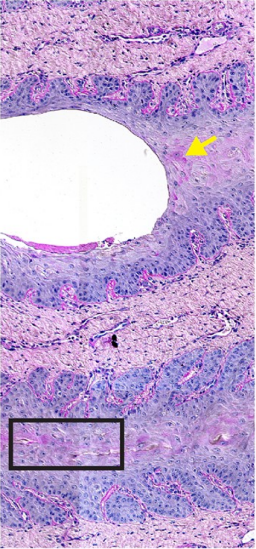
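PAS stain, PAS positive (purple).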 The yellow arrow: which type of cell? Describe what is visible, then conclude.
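The yellow arrow points to pink-purple cells in the epithelium lining a large open space. The surrounding epithelium has a palisaded basal layer of dark nuclei and paler layers above.
Conclusion: keratinocytes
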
